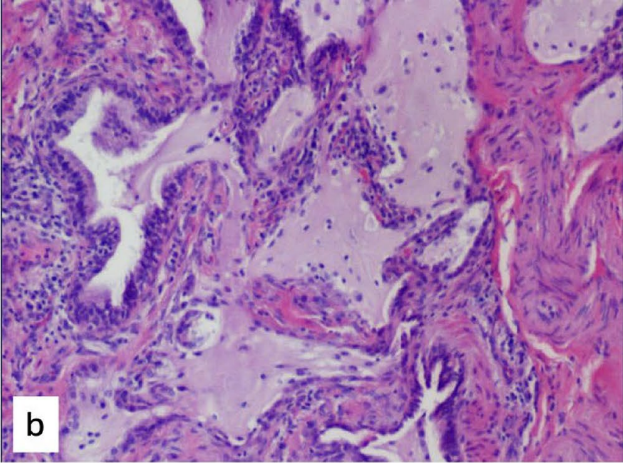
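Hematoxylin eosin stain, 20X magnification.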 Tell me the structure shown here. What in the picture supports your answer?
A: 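Mucus. Lumens are filled with pale pale-violet amorphous material. Scattered cells float within the luminal material.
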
